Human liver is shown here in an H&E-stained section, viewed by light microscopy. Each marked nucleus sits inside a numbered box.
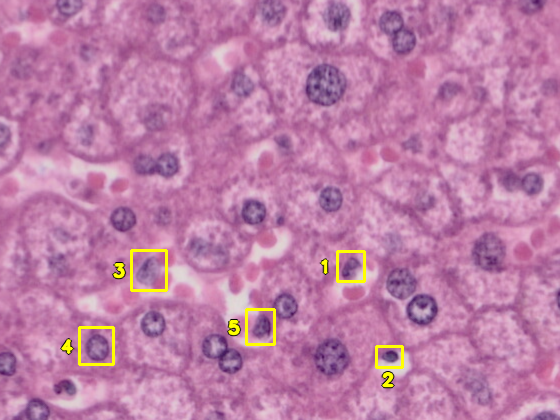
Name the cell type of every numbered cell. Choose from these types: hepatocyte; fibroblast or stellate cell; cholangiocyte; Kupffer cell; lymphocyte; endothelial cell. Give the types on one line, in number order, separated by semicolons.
Kupffer cell; lymphocyte; endothelial cell; hepatocyte; Kupffer cell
